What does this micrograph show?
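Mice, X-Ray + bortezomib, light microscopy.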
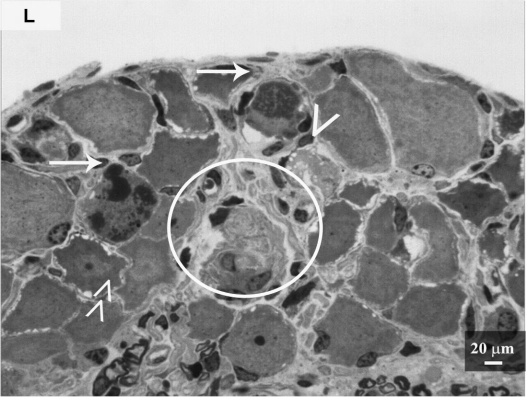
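This section of a dorsal root ganglion shows large rounded sensory neurons with grey cytoplasm, some with a round nucleus and dark nucleolus. Each neuron is surrounded by small flattened satellite cells with dark nuclei, and a thin connective tissue capsule covers the top of the ganglion. Several neurons contain dense dark clumps in their cytoplasm, and some show clear spaces at their edges. Near the centre, one cell body is shrunken and irregular with pale, disorganised contents, unlike the uniform neighbouring neurons.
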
